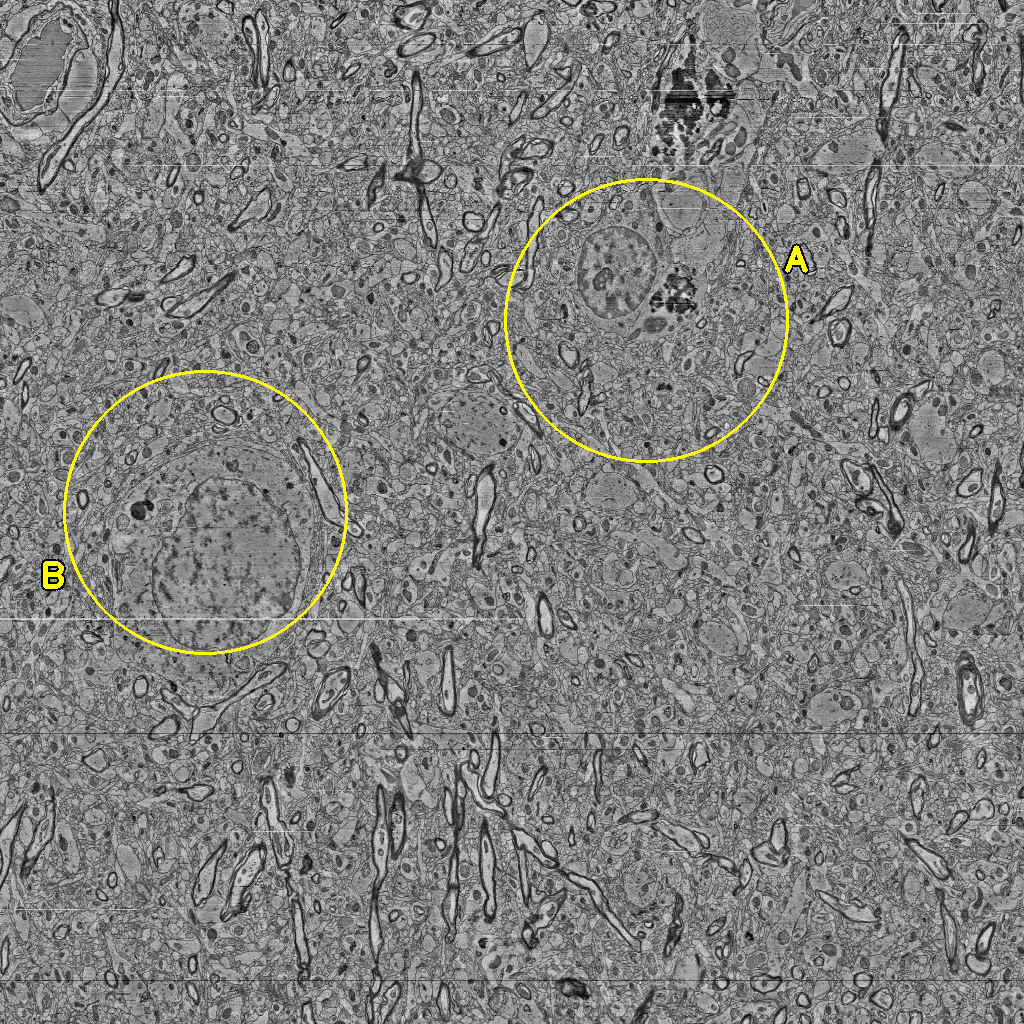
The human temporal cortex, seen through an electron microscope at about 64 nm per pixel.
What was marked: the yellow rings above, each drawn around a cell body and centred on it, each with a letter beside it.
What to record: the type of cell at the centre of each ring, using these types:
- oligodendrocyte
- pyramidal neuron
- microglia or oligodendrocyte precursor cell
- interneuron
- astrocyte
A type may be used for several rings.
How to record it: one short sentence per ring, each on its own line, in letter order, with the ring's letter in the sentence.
Centred in ring A is an oligodendrocyte.
Centred in ring B is a pyramidal neuron.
